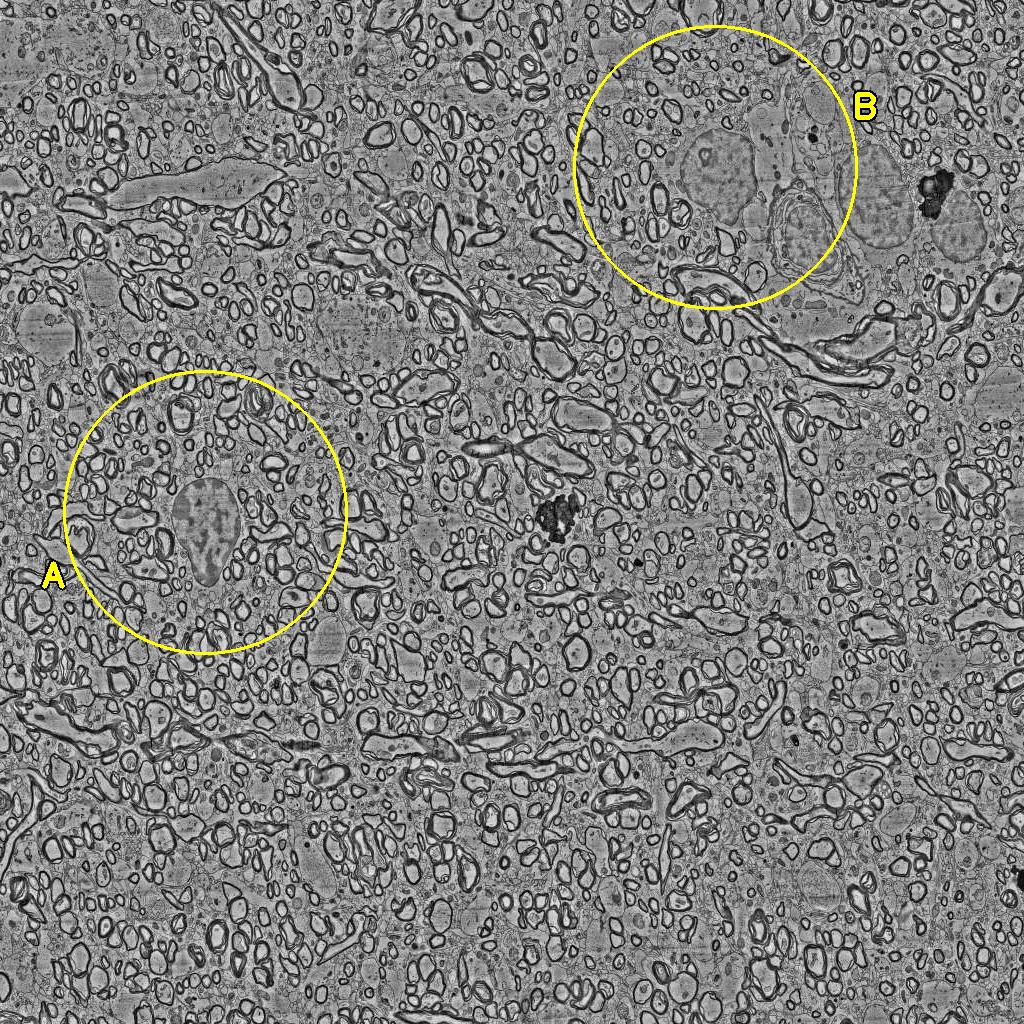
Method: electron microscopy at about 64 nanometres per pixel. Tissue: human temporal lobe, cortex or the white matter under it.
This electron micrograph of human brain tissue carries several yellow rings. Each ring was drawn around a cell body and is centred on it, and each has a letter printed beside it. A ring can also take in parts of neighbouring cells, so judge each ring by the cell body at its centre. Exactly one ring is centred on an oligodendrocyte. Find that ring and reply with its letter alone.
B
